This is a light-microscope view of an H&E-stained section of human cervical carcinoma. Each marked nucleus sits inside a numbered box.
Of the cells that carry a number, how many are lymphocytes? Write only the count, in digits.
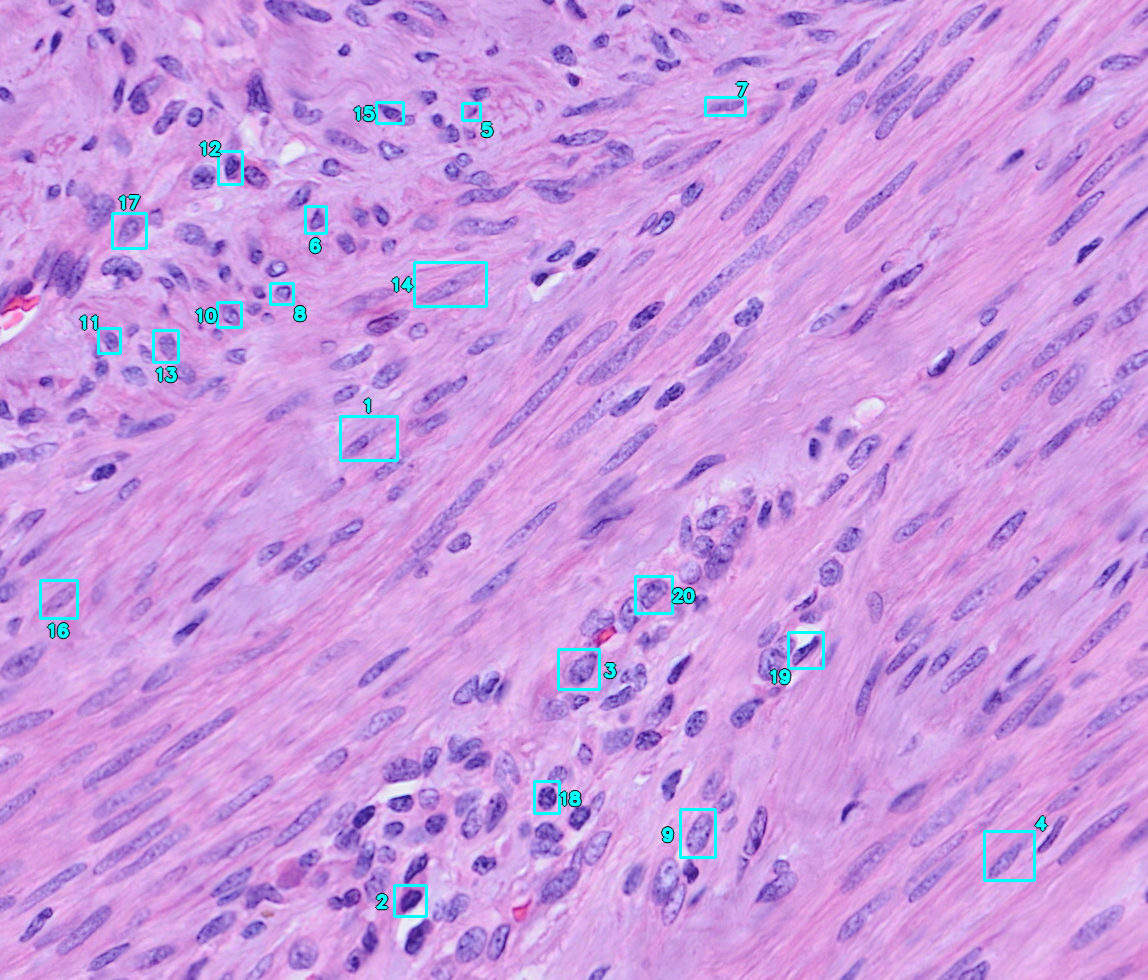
3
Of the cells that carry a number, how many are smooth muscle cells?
11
